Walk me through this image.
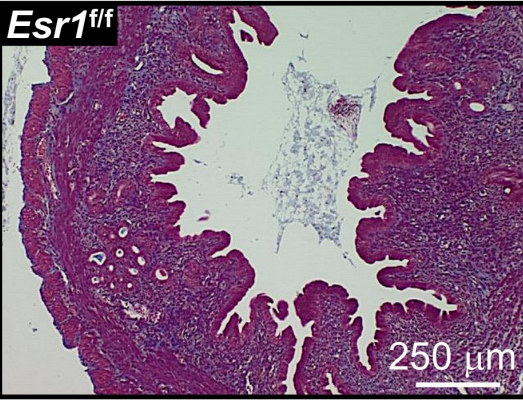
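A uterine cross-section shows a central, irregular lumen lined by a deeply folded epithelium stained dark red. Beneath the epithelium lies a dense, cellular stroma stained red-purple, with a cluster of small round glands near the lower left. The lumen is mostly empty, holding only a sparse, loose, pale bluish material.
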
